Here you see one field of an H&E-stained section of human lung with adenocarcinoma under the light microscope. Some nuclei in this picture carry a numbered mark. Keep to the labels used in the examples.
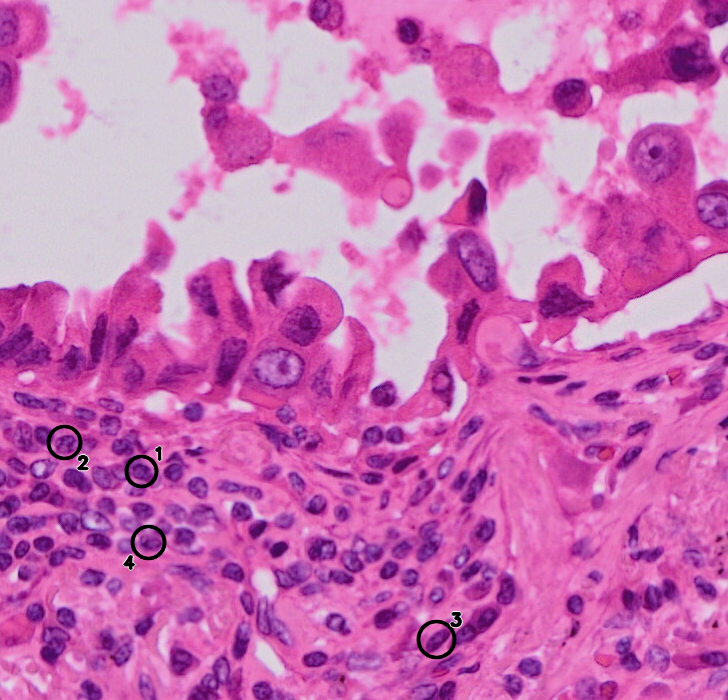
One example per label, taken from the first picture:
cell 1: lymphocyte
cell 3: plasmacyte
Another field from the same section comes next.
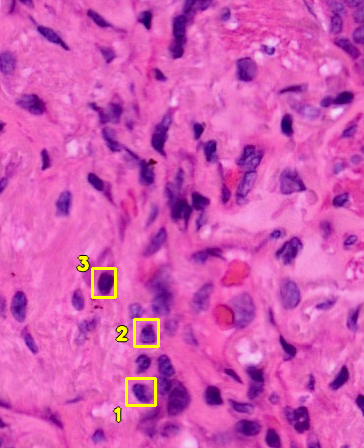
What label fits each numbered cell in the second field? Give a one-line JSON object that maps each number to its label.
{"1": "lymphocyte", "2": "lymphocyte", "3": "plasmacyte"}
